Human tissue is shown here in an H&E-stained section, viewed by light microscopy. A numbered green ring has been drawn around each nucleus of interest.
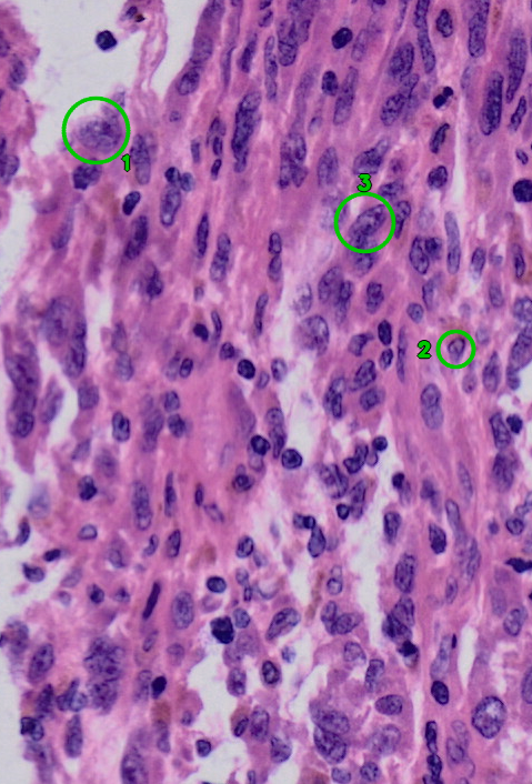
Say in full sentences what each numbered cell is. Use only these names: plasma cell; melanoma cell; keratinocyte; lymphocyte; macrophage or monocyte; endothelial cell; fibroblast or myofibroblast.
Cell 1 is a melanoma cell, cell 2 is a macrophage or monocyte and cell 3 is a melanoma cell.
